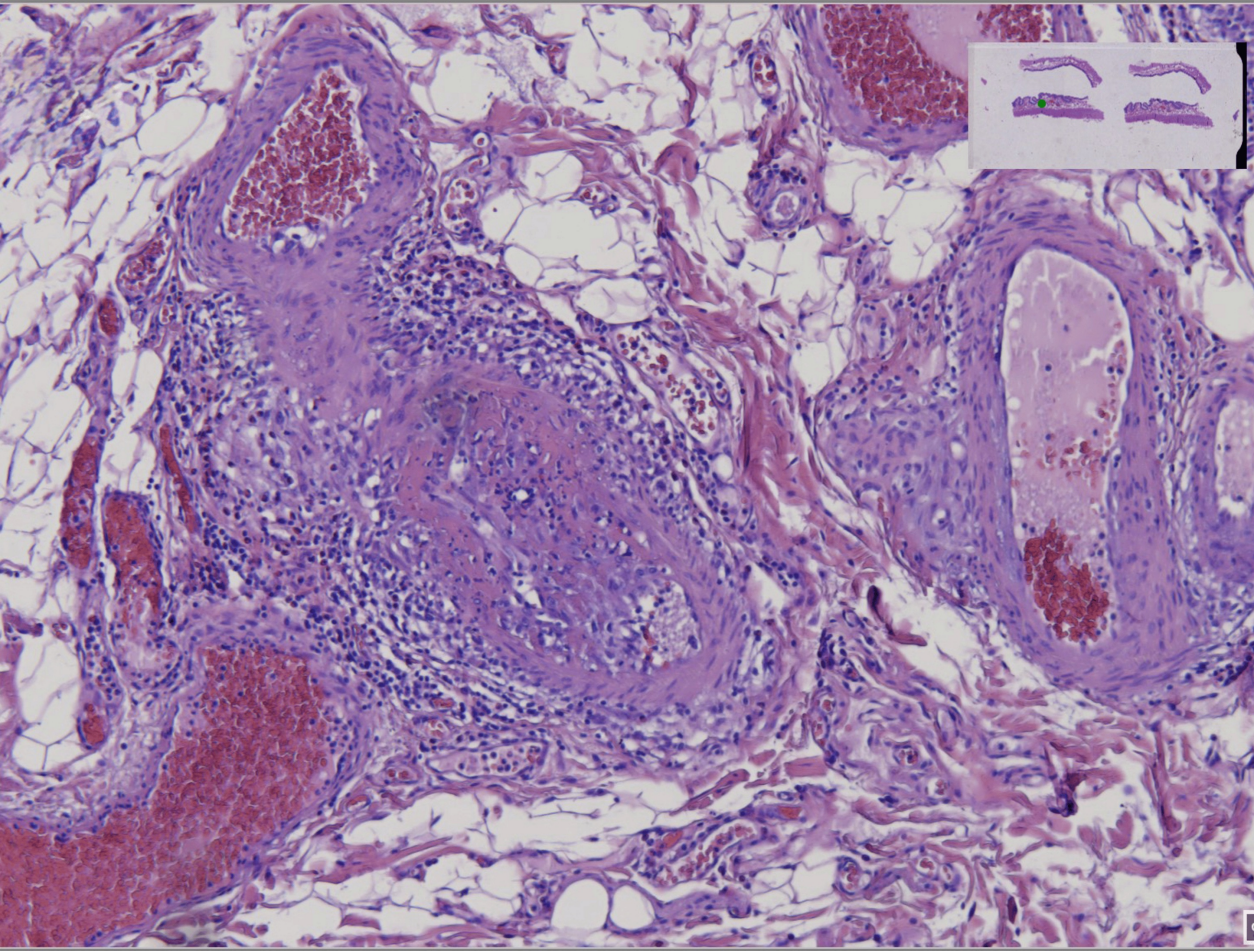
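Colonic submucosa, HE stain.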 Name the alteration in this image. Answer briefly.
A: Vasculitis.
